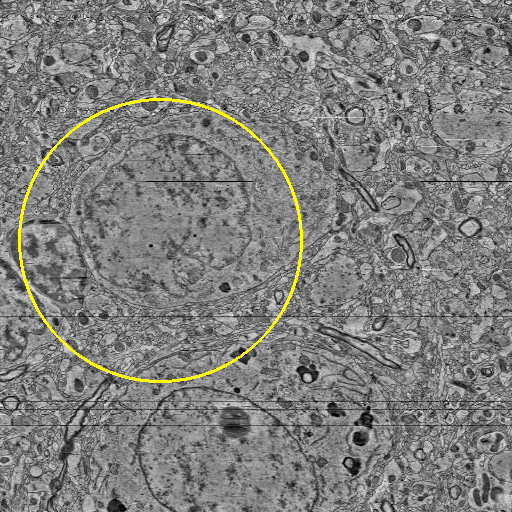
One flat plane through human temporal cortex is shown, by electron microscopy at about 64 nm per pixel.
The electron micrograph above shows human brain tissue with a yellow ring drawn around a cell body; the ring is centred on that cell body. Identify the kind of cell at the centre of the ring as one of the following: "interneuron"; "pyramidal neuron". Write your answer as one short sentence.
The cell at the centre of the ring is an interneuron.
